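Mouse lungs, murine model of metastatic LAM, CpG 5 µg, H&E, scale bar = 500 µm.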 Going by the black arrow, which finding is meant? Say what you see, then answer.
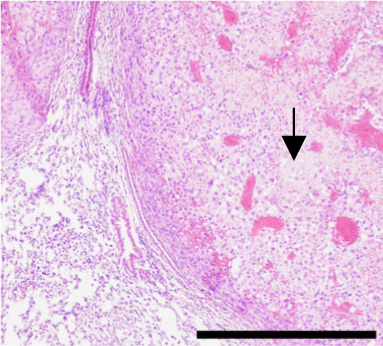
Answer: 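The arrow points into a pale, loosely textured area with few purple nuclei. Scattered bright red pools lie in and around the pale area.
Answer: necrosis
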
